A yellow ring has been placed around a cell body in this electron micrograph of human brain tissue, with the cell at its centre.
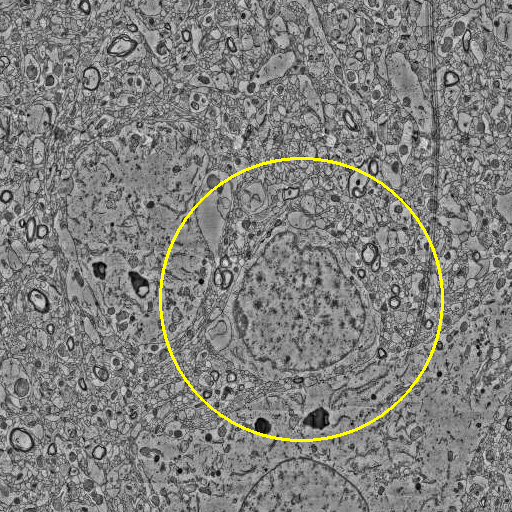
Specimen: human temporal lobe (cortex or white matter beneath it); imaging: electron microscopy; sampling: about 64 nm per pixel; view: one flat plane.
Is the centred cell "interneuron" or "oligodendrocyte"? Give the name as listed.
interneuron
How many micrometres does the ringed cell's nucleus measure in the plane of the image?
In this plane, roughly 9 micrometres across.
